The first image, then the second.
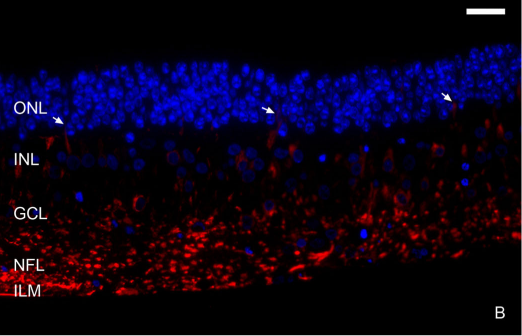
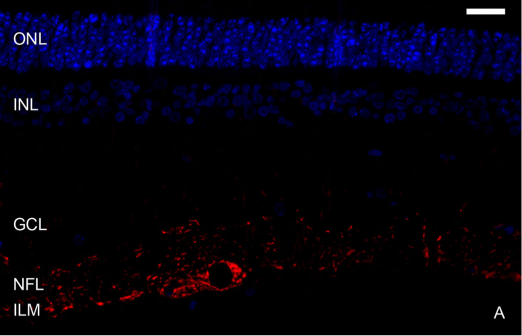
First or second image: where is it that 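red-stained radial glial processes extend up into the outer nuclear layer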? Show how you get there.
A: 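First image: red radial strands cross the inner layers and enter the outer nuclear layer. Second image: red staining is limited to the innermost band; the nuclear layers are nearly free of red. The answer: the first image.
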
